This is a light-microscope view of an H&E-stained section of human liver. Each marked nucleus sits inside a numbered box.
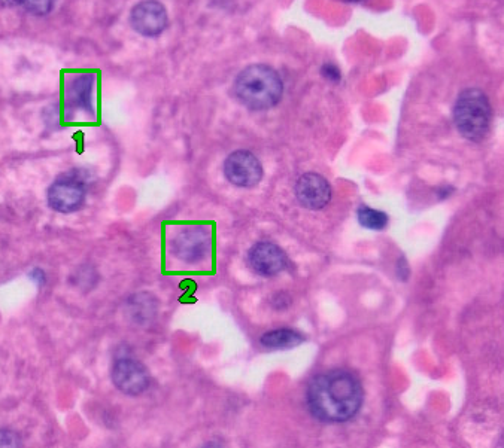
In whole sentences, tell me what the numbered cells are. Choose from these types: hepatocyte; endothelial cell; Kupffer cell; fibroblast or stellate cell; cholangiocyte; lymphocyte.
Cell 1 is an endothelial cell. Cell 2 is a hepatocyte.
